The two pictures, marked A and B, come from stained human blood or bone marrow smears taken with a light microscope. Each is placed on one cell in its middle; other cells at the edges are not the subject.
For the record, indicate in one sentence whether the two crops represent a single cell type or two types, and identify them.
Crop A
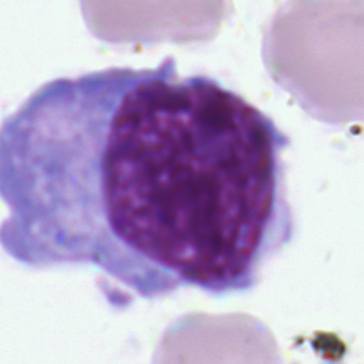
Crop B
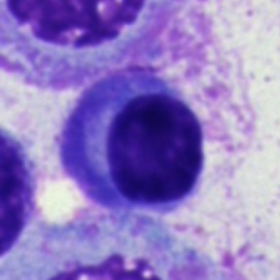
Yes, plasma cells occupy the centre of both crops.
